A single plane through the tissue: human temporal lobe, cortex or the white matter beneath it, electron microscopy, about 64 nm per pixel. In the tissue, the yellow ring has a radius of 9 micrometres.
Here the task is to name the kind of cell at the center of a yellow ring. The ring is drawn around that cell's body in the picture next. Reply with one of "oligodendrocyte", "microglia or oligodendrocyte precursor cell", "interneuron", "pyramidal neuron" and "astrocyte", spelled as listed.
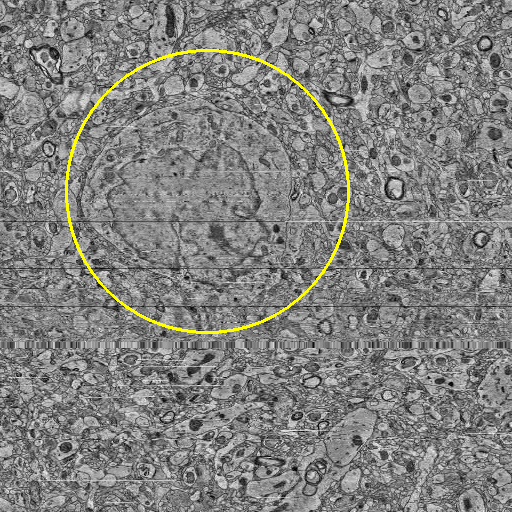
interneuron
